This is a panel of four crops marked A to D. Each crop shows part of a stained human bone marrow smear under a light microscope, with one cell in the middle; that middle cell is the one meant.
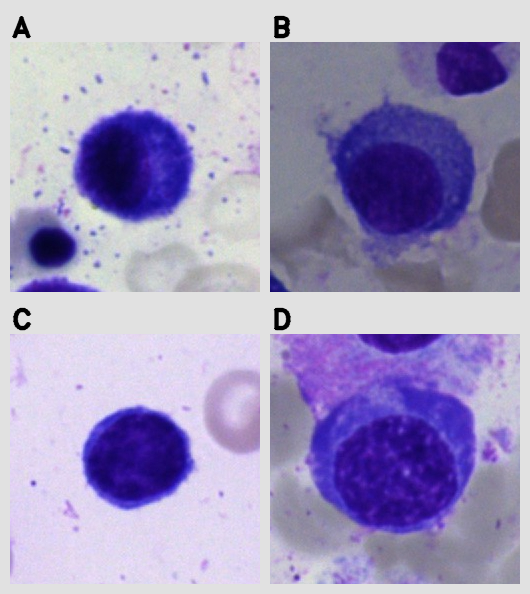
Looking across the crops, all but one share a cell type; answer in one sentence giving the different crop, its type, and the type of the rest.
The exception is crop C, with a lymphocyte; the remaining crops all show plasma cells.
